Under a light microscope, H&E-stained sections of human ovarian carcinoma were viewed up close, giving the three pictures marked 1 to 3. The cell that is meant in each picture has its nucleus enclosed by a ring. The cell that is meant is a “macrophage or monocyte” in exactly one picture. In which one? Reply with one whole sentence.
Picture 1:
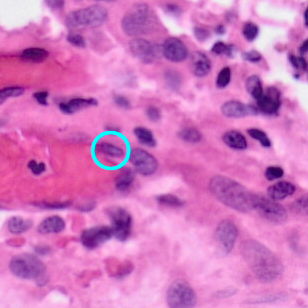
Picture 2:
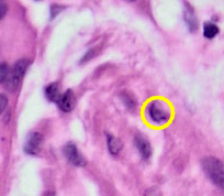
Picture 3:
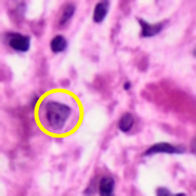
Picture 3 is the one that shows the “macrophage or monocyte”.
